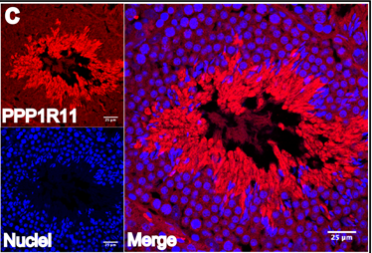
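A tubule of the testis is seen with layers of blue round nuclei at its outer part and a dark lumen in its center. Bright red is concentrated in the inner layers next to the lumen, where it forms elongated strands radiating inward like spokes toward the lumen. The outer cells show little red, so the staining picks out the later, haploid germ cells, from round spermatids through spermatozoa.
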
